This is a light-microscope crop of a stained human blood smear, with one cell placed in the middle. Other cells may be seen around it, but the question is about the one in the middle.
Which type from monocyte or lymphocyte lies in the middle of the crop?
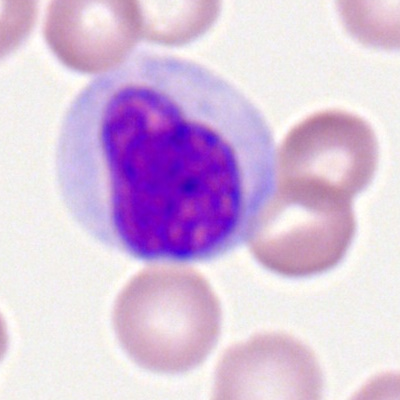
monocyte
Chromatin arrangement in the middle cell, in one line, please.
If you check the nucleus, you will find the chromatin coarsely clumped.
